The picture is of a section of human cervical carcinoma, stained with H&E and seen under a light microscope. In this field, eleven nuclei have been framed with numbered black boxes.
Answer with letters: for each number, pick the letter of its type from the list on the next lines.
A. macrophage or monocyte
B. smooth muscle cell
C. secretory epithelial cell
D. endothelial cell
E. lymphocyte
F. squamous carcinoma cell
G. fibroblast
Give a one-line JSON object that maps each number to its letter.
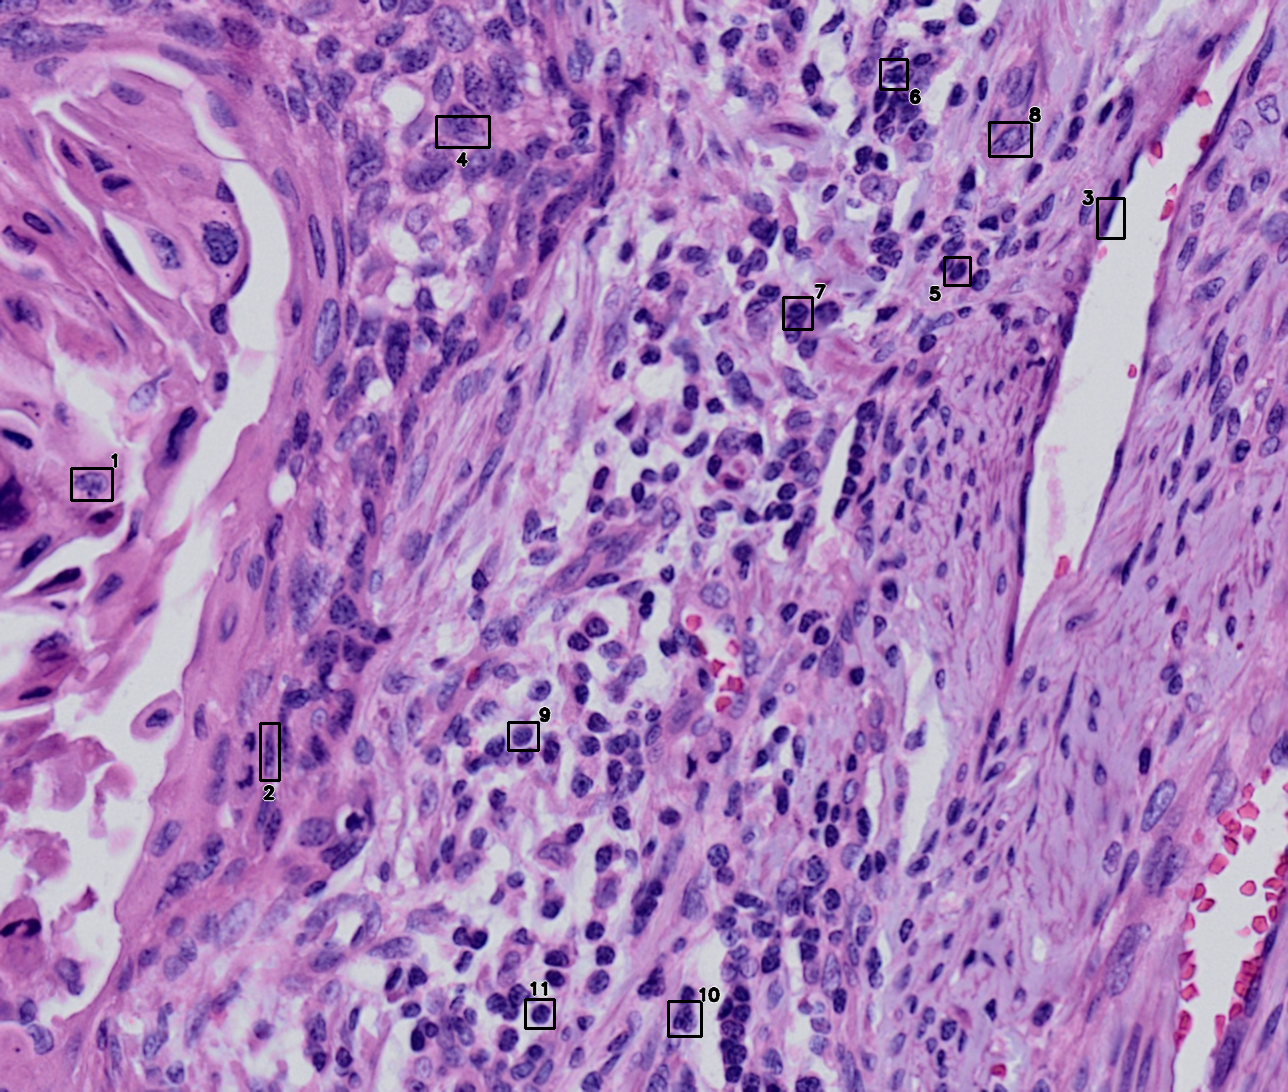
{"1": "F", "2": "F", "3": "D", "4": "F", "5": "E", "6": "E", "7": "E", "8": "D", "9": "E", "10": "E", "11": "E"}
